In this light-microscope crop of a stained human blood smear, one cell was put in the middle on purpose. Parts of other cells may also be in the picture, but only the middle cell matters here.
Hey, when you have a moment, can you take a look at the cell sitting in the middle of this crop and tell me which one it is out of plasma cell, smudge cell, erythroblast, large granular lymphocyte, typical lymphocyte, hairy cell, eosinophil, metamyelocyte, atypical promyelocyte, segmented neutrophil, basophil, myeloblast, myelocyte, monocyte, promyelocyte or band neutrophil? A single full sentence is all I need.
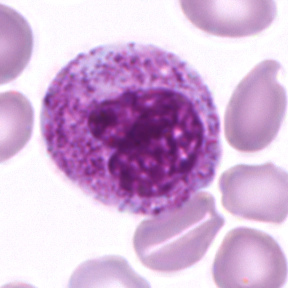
The centrally placed cell is classified as a band neutrophil.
